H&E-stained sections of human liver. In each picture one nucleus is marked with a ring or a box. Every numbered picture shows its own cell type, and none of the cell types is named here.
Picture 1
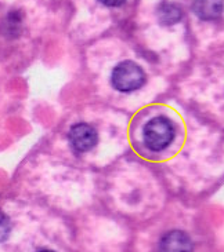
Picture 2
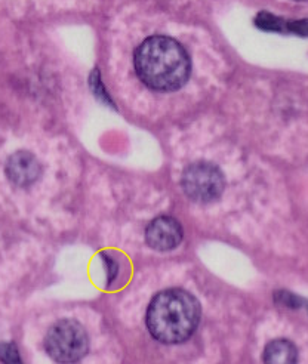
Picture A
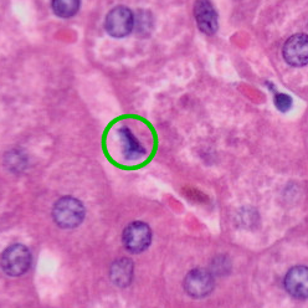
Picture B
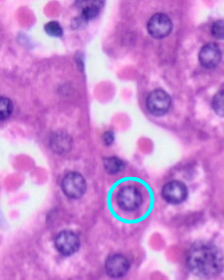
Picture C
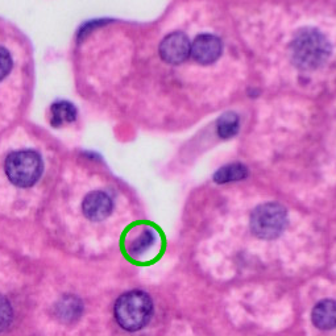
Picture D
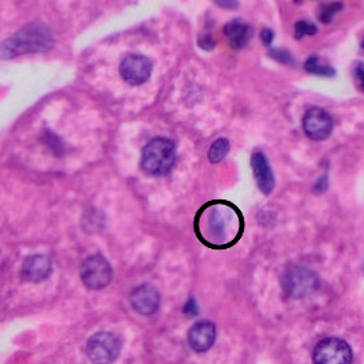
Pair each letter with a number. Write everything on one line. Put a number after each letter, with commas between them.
A 2, B 1, C 2, D 2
